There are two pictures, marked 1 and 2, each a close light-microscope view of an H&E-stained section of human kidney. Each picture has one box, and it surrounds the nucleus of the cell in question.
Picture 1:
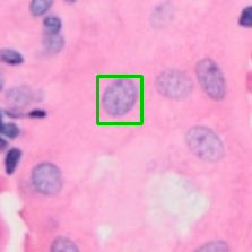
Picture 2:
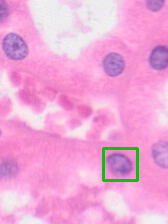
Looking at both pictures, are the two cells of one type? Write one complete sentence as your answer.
Yes; the cells in both pictures are proximal tubule cells.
